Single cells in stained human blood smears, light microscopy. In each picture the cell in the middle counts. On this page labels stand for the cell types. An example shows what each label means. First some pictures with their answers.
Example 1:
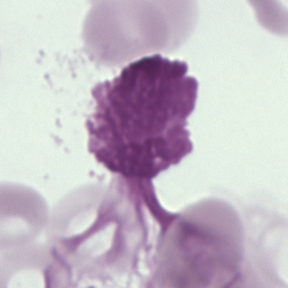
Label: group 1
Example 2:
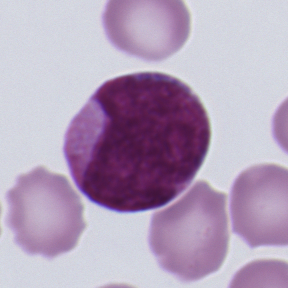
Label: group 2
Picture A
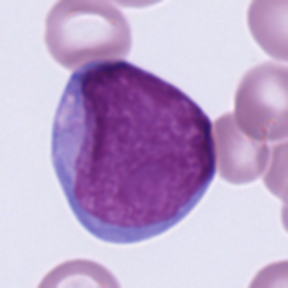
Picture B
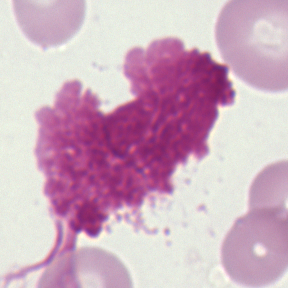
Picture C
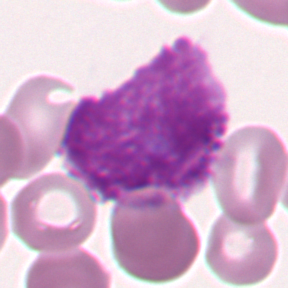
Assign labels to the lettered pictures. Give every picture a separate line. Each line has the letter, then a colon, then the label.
A: group 2
B: group 1
C: group 1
